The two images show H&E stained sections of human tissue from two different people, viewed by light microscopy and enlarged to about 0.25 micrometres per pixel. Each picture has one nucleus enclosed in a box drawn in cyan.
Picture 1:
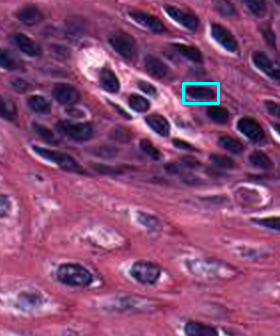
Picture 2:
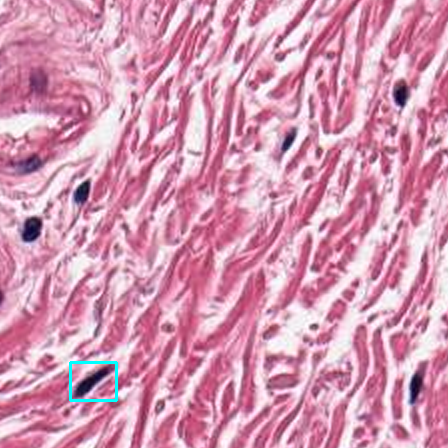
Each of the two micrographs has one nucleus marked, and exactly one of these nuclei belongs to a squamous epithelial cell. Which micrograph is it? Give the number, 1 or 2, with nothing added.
1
